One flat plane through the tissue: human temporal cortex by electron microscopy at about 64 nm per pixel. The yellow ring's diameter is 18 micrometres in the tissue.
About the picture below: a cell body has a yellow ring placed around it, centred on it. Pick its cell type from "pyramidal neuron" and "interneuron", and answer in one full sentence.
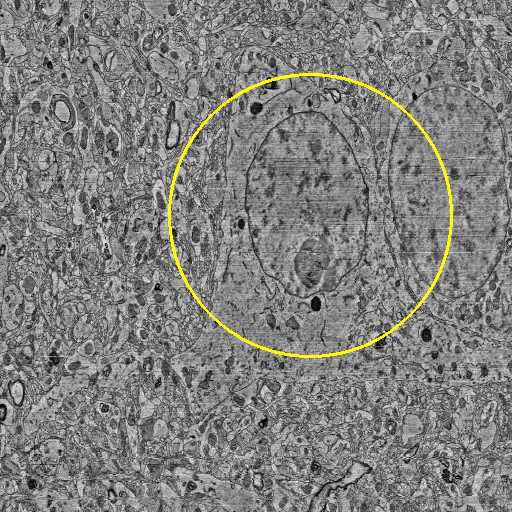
In the picture, a pyramidal neuron is the cell sitting at the centre of the yellow ring.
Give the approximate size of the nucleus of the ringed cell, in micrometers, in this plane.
The nucleus is approximately 12 micrometres long but only about 8 wide, clearly longer than it is wide in this plane.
